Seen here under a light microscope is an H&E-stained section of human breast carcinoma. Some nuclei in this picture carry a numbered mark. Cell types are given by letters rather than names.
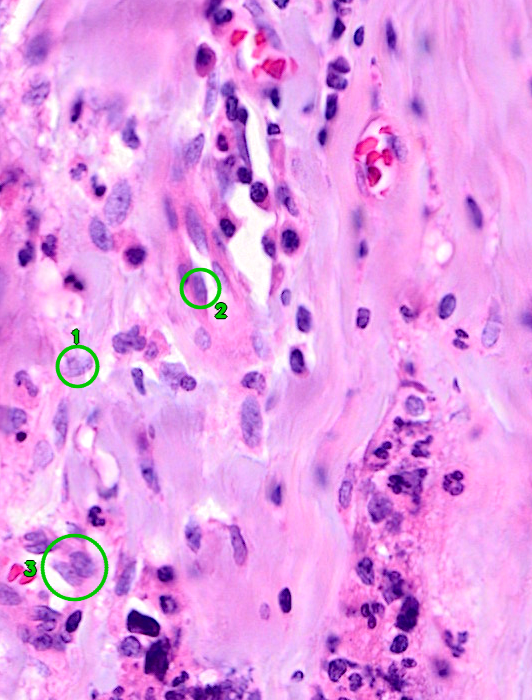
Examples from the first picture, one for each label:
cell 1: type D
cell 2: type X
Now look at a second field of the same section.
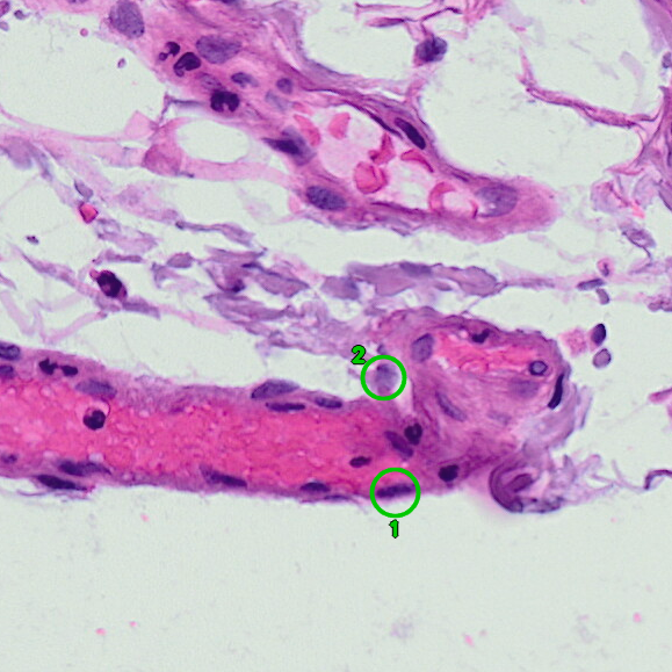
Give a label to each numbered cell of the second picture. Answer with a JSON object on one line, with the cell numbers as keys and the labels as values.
{"1": "type X", "2": "type D"}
